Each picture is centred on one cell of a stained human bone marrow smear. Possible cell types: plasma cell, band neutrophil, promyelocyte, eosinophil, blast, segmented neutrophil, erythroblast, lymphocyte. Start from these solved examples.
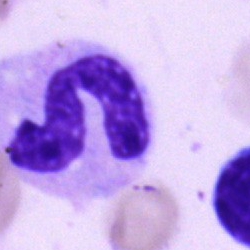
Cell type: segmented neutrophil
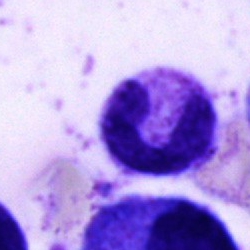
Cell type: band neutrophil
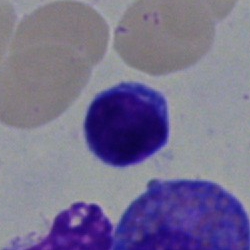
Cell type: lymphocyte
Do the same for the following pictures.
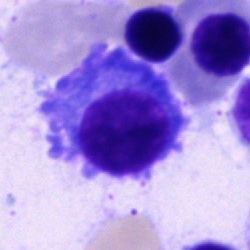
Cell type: plasma cell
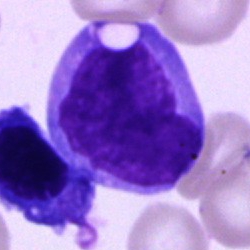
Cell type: blast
